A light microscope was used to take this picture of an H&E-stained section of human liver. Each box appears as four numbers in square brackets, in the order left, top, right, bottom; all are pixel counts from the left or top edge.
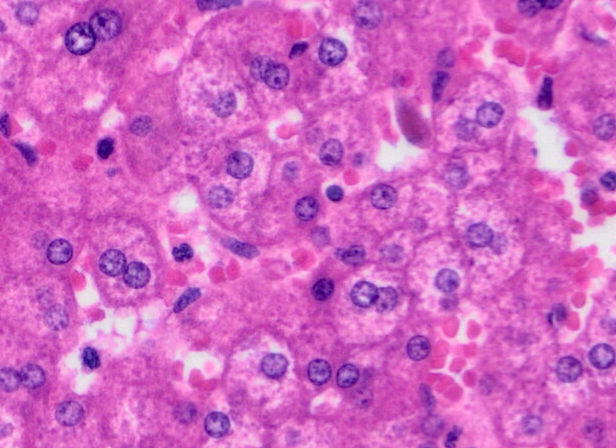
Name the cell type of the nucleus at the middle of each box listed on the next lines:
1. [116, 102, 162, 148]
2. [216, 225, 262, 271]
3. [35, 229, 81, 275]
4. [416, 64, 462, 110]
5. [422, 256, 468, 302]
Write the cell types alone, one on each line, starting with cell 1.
hepatocyte
Kupffer cell
hepatocyte
fibroblast or stellate cell
hepatocyte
